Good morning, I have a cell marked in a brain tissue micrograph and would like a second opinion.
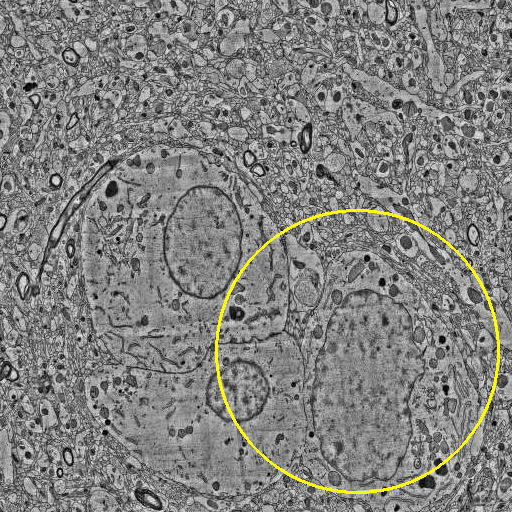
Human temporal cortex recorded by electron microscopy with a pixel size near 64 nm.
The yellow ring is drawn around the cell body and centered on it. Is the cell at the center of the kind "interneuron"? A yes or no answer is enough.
yes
